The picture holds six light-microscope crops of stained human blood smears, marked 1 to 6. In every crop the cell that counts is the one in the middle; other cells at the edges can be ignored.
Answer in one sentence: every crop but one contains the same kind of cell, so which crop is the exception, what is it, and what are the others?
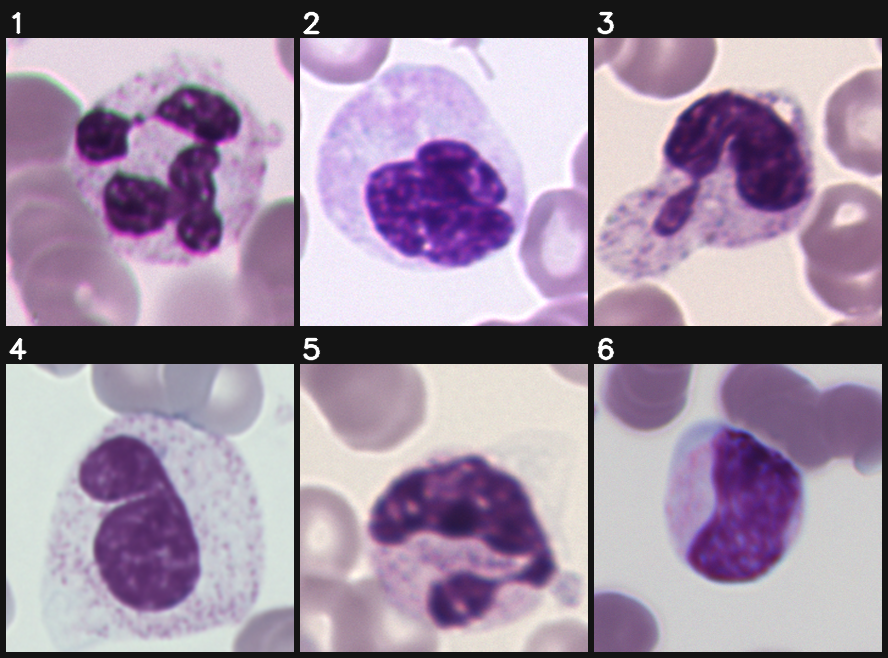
Crop 6 shows a band neutrophil; by contrast, all the other crops show segmented neutrophils.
